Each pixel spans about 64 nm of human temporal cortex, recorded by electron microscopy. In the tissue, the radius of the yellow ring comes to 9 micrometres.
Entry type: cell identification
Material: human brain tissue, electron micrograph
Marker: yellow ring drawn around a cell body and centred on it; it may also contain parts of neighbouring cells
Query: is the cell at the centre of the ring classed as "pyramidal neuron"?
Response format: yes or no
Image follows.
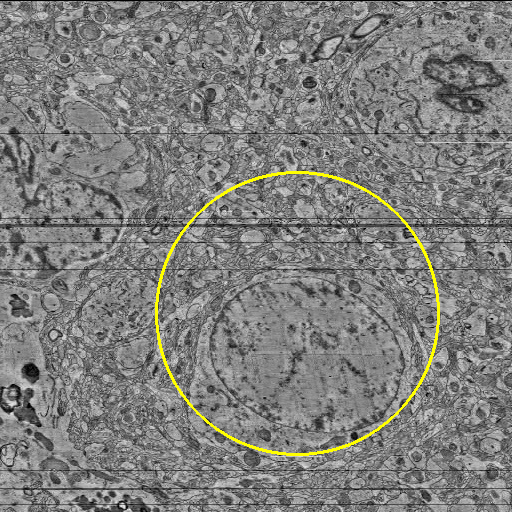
yes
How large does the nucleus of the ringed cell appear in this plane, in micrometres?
In this plane, roughly 12 by 10 micrometres.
